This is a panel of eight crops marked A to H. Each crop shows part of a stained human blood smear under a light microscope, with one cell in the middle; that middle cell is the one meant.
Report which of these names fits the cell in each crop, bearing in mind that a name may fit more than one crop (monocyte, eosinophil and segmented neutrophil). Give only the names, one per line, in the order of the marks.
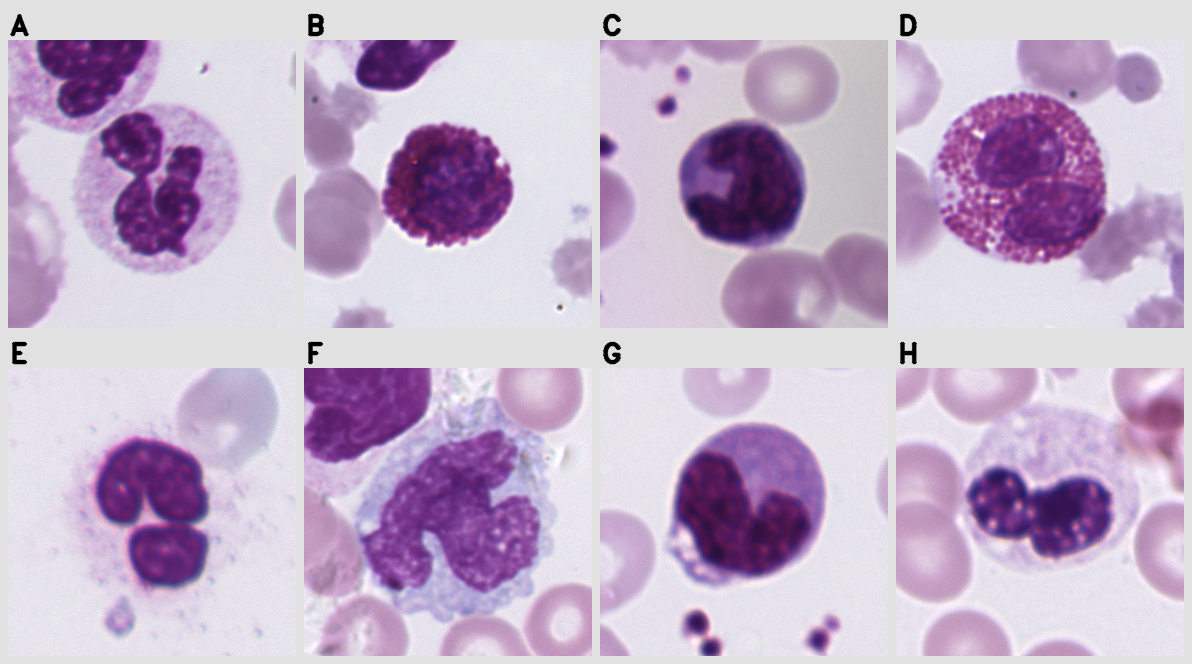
segmented neutrophil
eosinophil
monocyte
eosinophil
segmented neutrophil
monocyte
monocyte
segmented neutrophil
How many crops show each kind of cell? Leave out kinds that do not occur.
segmented neutrophil: 3
monocyte: 3
eosinophil: 2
